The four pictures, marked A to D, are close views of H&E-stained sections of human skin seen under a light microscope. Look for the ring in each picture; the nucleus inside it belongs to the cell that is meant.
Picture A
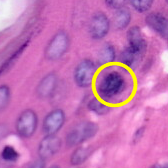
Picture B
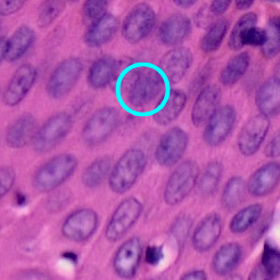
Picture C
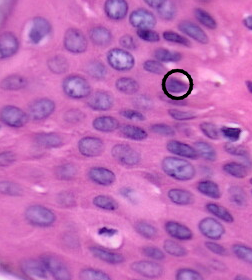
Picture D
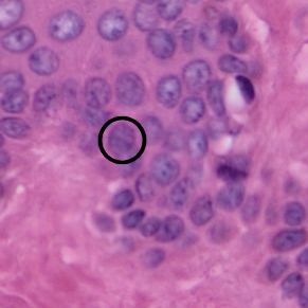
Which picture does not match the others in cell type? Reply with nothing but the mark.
B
